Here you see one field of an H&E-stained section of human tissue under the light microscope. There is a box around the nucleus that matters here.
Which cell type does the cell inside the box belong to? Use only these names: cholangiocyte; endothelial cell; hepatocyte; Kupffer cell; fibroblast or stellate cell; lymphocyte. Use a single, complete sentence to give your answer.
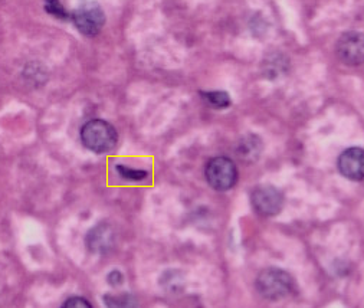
By its classification, the cell inside the box is an endothelial cell.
